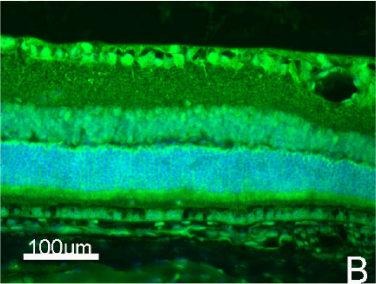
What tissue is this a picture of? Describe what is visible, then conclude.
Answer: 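Stacked parallel cellular and fibrous layers. Dense band of nuclei in blue. That points to this answer: retina.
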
